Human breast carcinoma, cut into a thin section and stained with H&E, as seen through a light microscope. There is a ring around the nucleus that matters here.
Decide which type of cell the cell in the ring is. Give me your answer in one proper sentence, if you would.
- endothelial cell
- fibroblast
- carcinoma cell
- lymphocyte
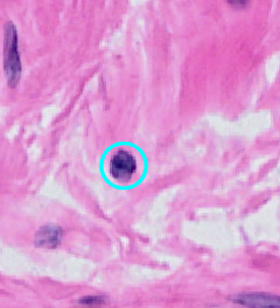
In this section of tissue, the cell in the ring is a lymphocyte.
